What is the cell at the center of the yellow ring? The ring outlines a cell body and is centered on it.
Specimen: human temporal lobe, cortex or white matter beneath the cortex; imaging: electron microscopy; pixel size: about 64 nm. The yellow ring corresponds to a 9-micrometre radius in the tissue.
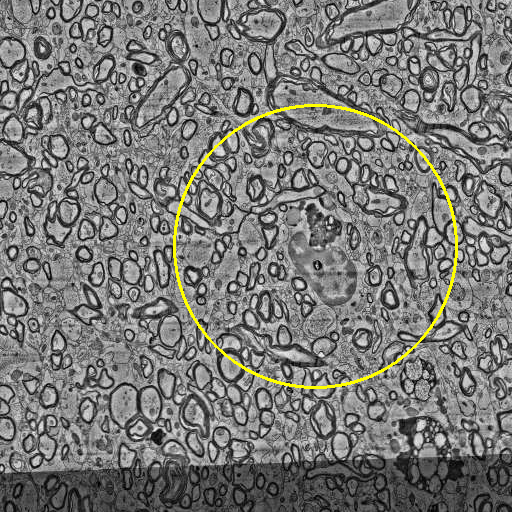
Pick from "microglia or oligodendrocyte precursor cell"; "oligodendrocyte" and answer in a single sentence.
The yellow ring is centered on a microglial cell or oligodendrocyte precursor cell.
